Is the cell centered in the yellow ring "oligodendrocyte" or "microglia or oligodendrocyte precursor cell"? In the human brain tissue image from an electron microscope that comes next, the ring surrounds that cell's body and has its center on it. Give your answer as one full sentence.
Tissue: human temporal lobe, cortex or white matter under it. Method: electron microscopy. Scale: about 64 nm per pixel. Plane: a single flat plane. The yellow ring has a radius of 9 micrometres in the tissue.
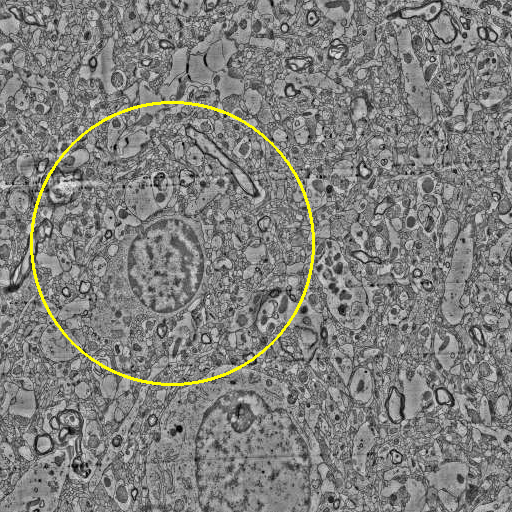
The cell at the center of the yellow ring is an oligodendrocyte in the micrograph.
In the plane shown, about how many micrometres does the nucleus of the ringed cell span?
The nucleus works out at approximately 6 by 5 micrometres in this plane.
